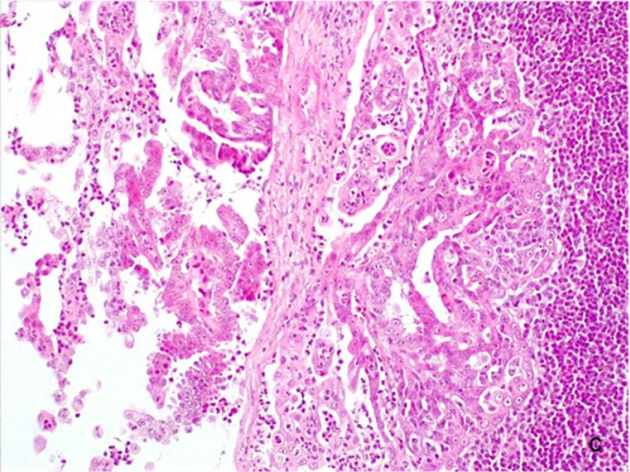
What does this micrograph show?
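This is the edge of a lymph node invaded by a carcinoma. On the left lies a widened open space in which loose fronds and small floating clusters of tumour cells sit. A band of pink fibrous tissue runs down the middle. To its right, large tumour cells line branching tubules and finger-like papillae; they have abundant pink cytoplasm and large pale round nuclei with conspicuous nucleoli. At the far right the tumour abuts a dense sheet of small, dark, closely packed round lymphocytes, the remaining lymphoid tissue of the node.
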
